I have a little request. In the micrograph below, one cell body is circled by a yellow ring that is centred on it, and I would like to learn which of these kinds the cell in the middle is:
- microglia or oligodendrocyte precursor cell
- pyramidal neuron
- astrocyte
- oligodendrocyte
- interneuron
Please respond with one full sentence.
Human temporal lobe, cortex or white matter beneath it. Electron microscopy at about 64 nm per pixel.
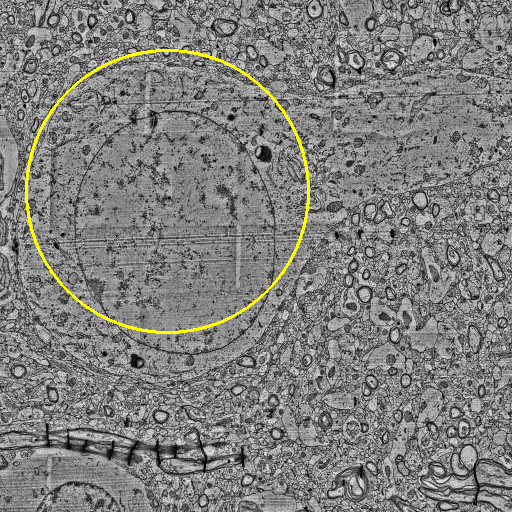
The cell sitting in the middle of the yellow ring in the micrograph is a pyramidal neuron.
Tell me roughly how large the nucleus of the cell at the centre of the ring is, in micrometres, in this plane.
The nucleus measures about 16 by 13 micrometres in this plane.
